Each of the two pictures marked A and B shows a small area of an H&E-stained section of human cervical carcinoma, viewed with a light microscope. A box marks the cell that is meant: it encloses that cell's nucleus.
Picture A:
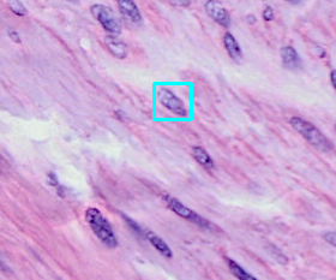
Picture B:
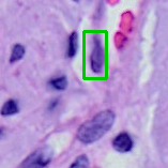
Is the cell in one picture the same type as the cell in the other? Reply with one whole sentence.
No. Picture A shows a smooth muscle cell, but picture B shows an endothelial cell.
